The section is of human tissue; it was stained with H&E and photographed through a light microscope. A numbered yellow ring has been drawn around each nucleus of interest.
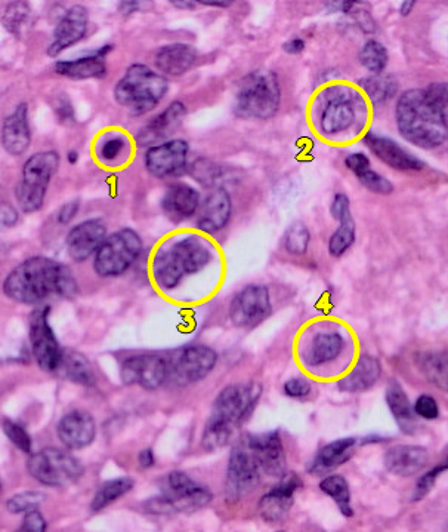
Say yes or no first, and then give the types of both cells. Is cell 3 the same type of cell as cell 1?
No, as for cell 3, it is a melanoma cell, and cell 1 is a lymphocyte.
